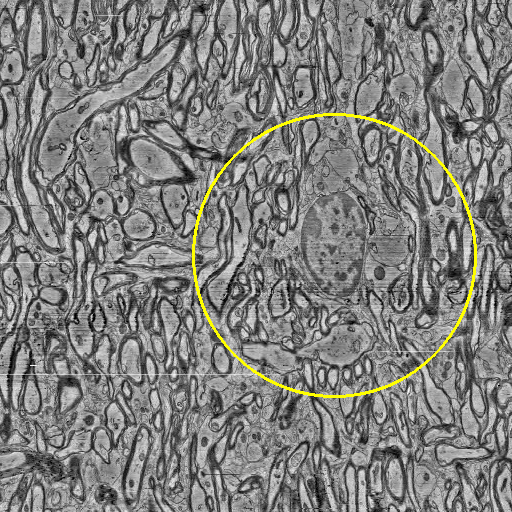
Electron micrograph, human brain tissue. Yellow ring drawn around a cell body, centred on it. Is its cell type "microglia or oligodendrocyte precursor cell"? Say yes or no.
yes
